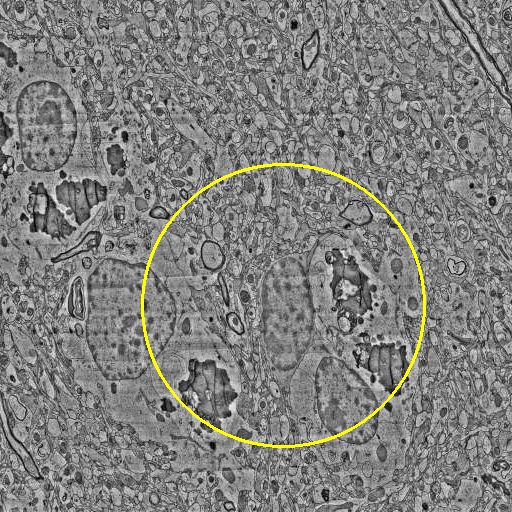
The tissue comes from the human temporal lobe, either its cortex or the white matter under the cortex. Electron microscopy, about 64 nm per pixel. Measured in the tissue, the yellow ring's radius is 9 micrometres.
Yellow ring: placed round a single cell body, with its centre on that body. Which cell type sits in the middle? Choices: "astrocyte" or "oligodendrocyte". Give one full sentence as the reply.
It is an oligodendrocyte whose cell body sits at the centre of the yellow ring.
